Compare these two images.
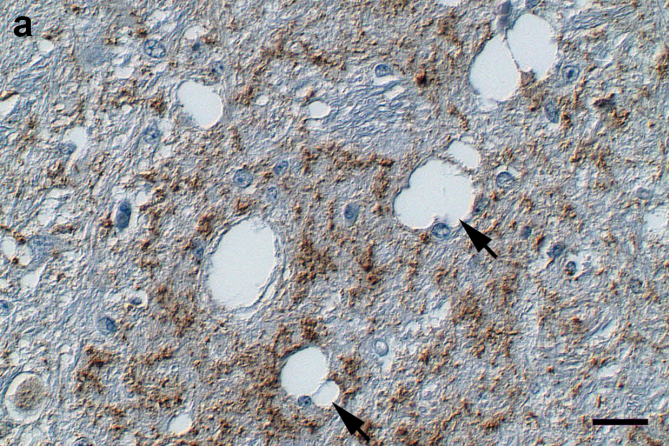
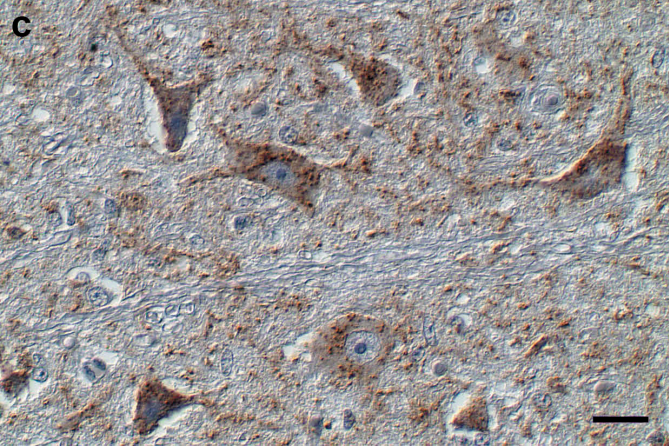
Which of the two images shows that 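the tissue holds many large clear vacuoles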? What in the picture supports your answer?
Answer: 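Second image: the tissue between the large cells is continuous with no large clear holes. First image: many large round clear spaces are scattered through the tissue.
Conclusion: the first image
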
